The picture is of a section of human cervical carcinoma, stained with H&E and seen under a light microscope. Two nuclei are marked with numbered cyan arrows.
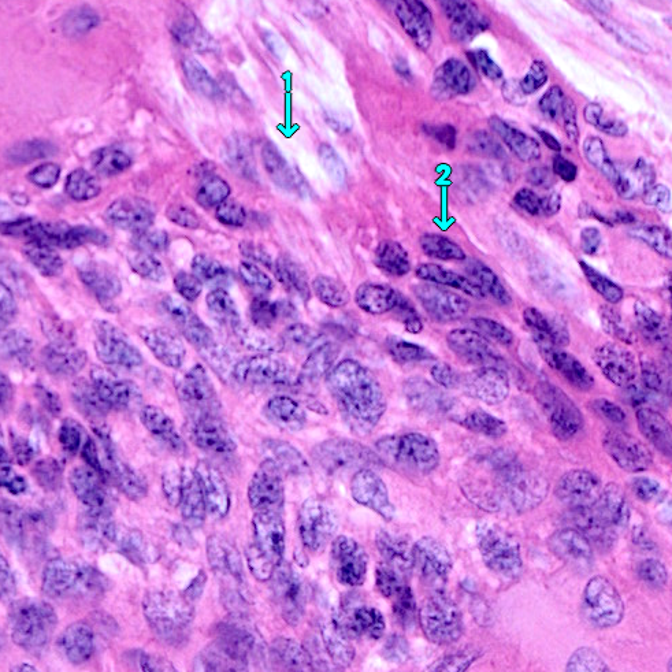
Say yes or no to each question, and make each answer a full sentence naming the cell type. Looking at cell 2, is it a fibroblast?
No, the cell tagged 2 is a squamous carcinoma cell, not a fibroblast.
